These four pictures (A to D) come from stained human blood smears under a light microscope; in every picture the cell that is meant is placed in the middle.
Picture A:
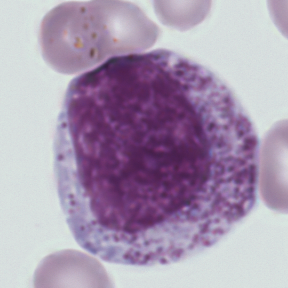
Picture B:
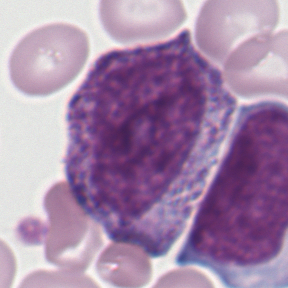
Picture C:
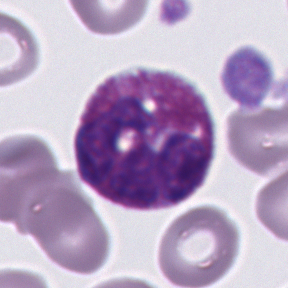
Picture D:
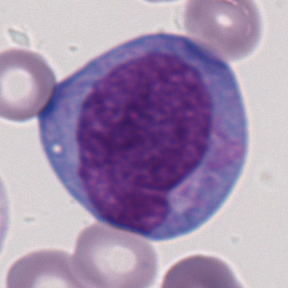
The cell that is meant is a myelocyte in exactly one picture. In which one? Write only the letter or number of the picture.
B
